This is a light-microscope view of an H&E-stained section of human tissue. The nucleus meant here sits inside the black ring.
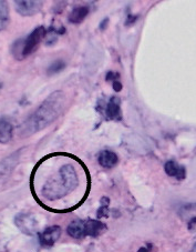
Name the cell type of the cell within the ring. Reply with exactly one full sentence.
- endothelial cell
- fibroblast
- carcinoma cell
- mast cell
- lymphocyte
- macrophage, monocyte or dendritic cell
For cell typing purposes, the cell within the ring is a macrophage, monocyte or dendritic cell.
